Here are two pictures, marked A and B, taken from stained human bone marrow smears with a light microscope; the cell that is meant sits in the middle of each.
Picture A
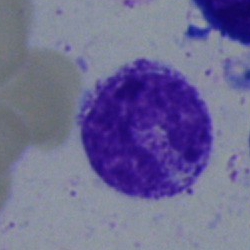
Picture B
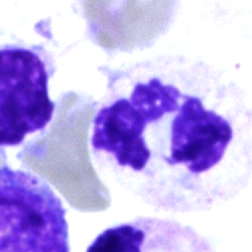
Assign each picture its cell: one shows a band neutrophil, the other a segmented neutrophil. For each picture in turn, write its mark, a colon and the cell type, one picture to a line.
A: band neutrophil
B: segmented neutrophil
